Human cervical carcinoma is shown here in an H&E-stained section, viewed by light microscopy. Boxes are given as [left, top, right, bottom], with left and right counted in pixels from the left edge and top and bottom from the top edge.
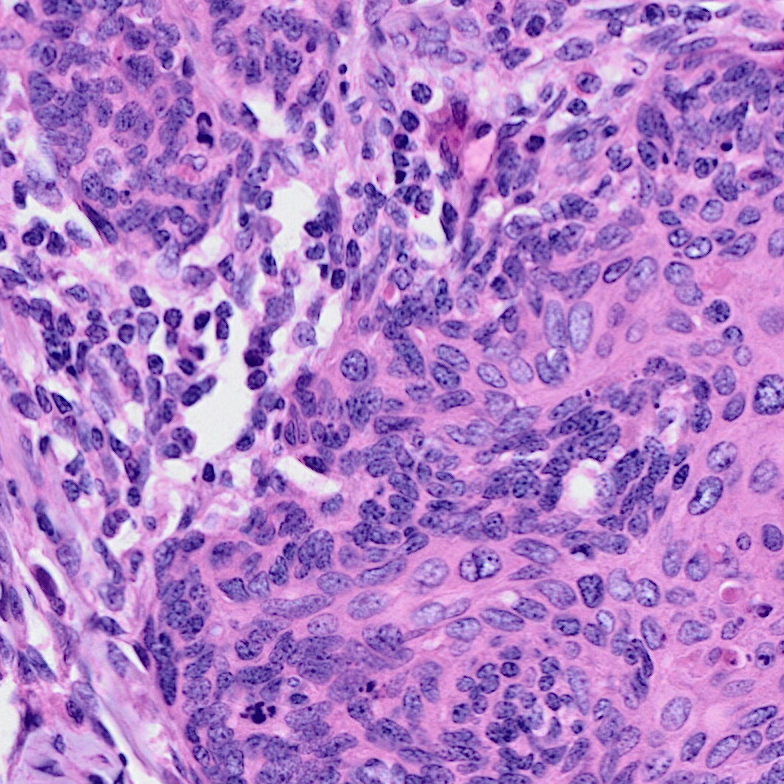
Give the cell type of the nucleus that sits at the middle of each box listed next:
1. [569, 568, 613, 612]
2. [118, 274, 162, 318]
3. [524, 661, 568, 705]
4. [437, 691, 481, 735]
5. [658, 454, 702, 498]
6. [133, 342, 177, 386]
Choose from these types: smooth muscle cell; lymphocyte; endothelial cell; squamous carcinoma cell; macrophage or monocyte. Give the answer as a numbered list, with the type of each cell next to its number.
1. squamous carcinoma cell
2. lymphocyte
3. squamous carcinoma cell
4. squamous carcinoma cell
5. squamous carcinoma cell
6. lymphocyte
